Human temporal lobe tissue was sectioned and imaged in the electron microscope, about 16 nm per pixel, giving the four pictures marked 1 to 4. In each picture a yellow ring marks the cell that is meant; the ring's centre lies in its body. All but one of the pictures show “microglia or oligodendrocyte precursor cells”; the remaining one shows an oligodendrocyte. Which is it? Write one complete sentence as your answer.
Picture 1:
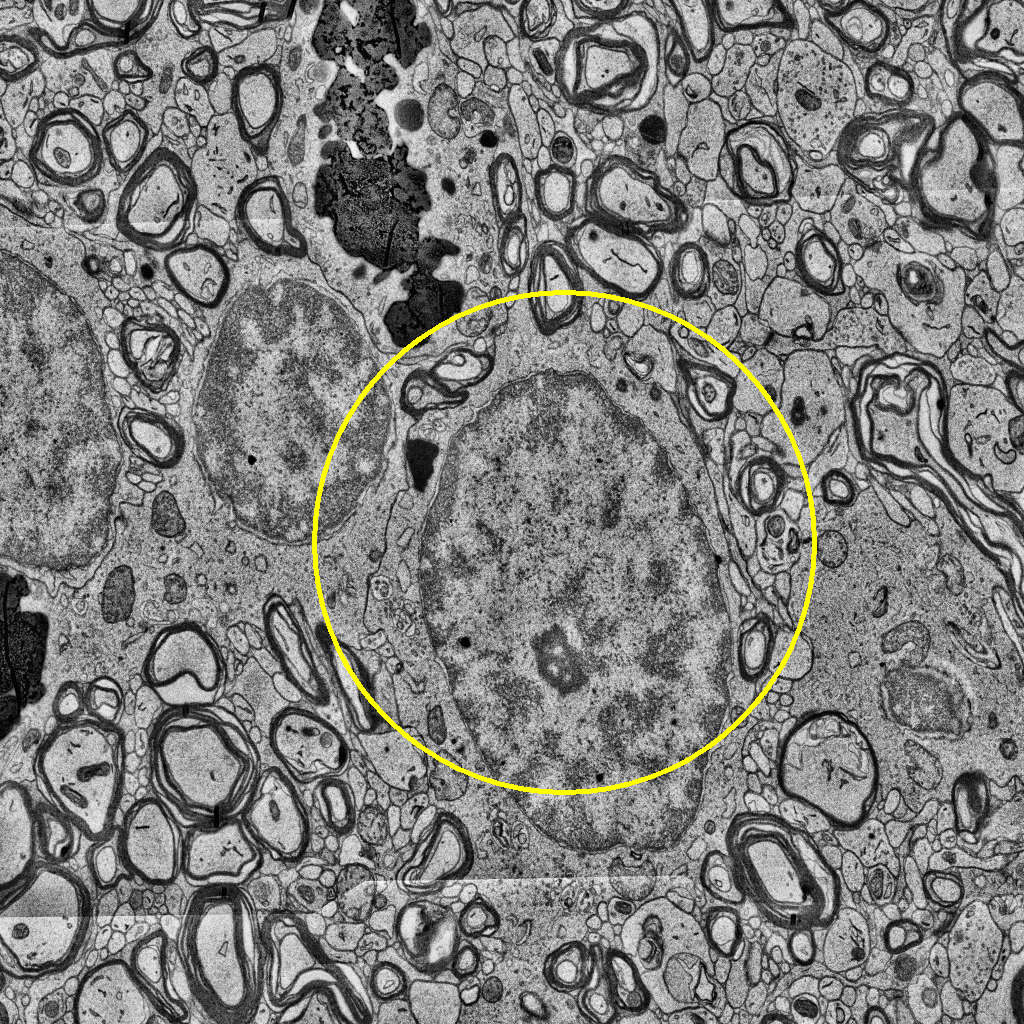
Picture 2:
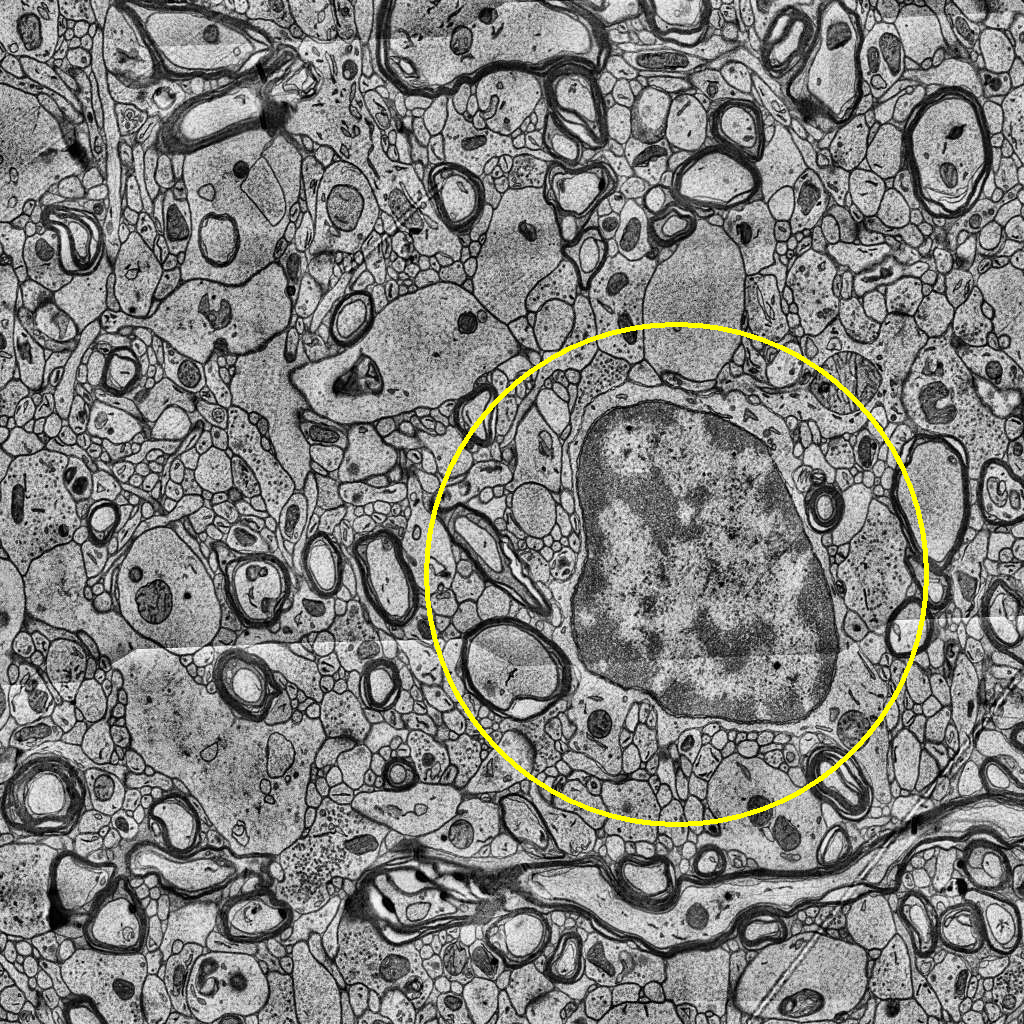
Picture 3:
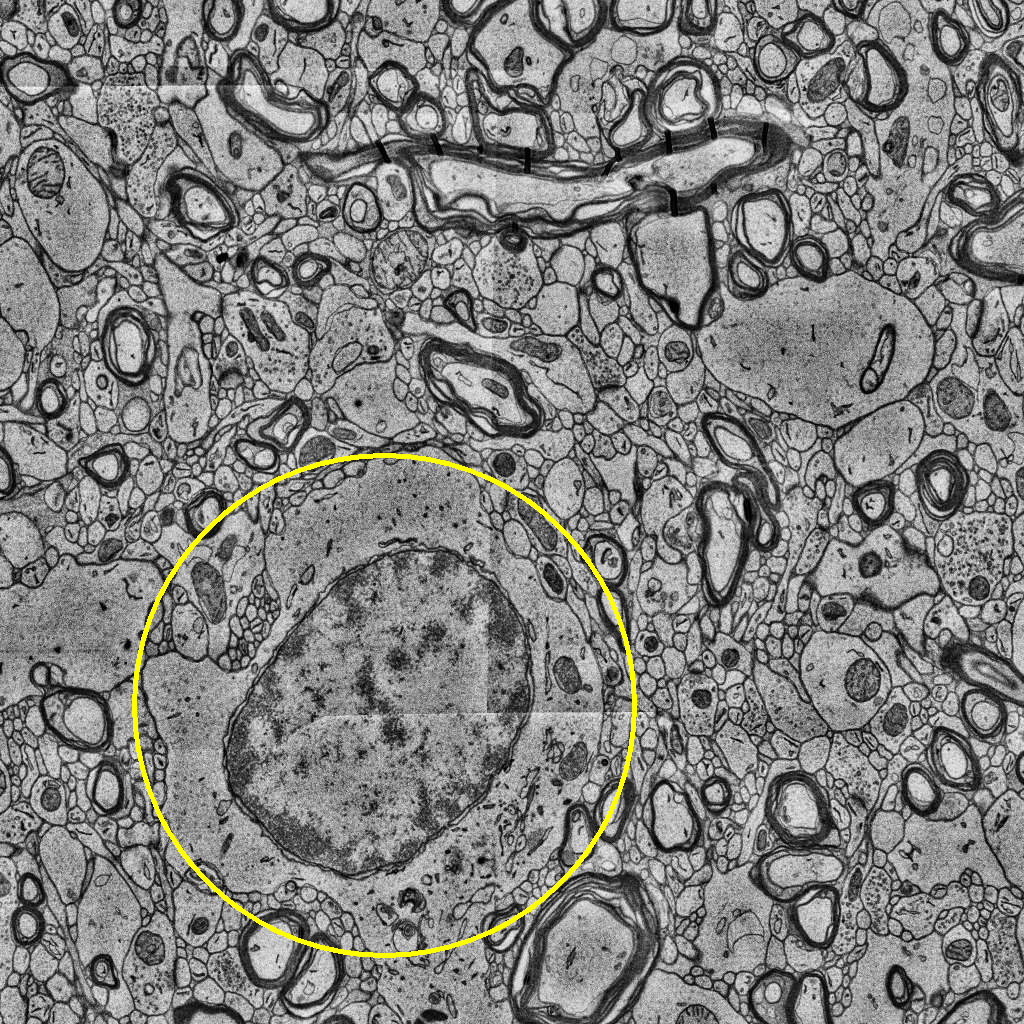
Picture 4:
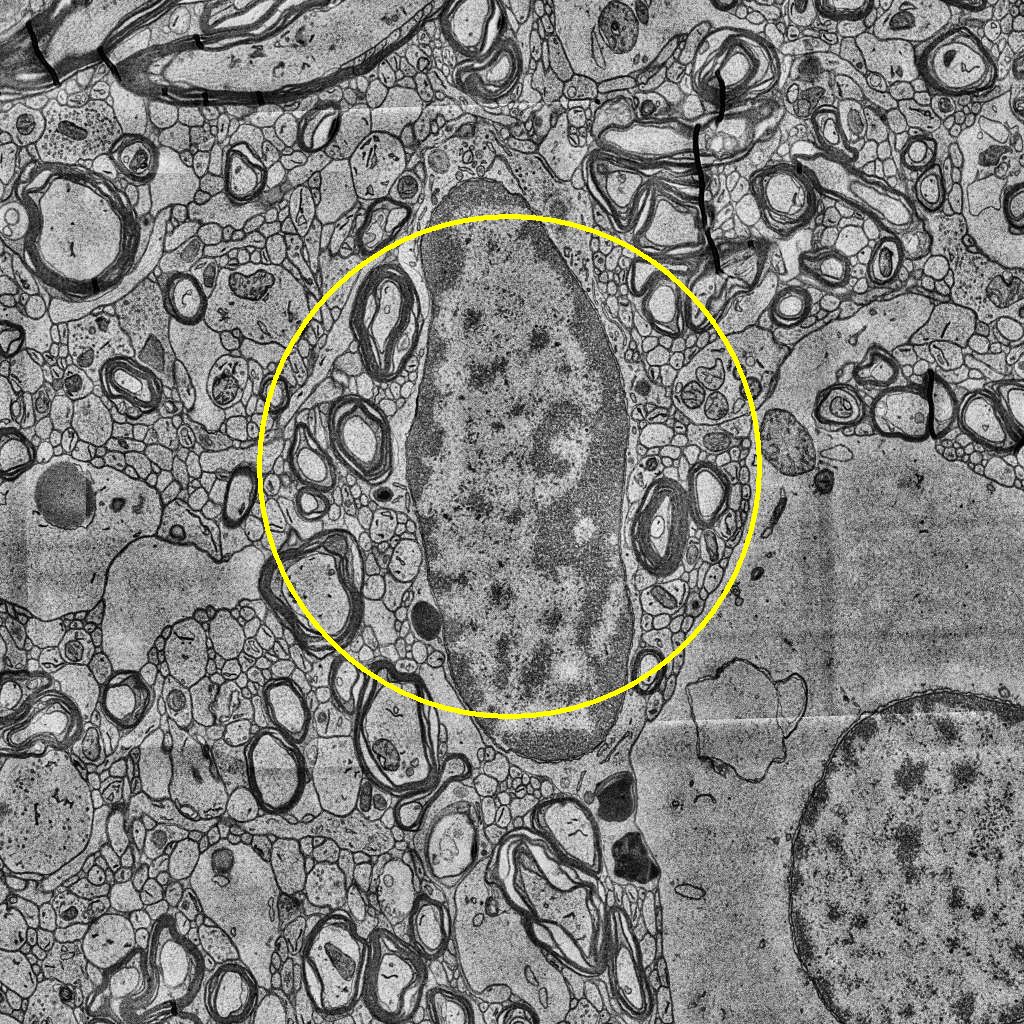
The oligodendrocyte is the one in picture 1.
